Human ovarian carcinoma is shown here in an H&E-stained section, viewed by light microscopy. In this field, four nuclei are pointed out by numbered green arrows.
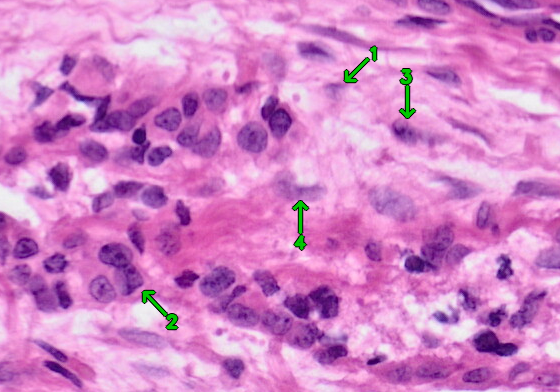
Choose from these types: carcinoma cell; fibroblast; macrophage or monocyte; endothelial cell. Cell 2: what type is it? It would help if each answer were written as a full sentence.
The nucleus labeled 2 belongs to a carcinoma cell.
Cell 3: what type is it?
The cell that bears the number 3 is a fibroblast.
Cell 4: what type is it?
Number 4 is placed on a fibroblast here.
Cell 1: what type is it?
In the marked set, the cell given number 1 is a fibroblast.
